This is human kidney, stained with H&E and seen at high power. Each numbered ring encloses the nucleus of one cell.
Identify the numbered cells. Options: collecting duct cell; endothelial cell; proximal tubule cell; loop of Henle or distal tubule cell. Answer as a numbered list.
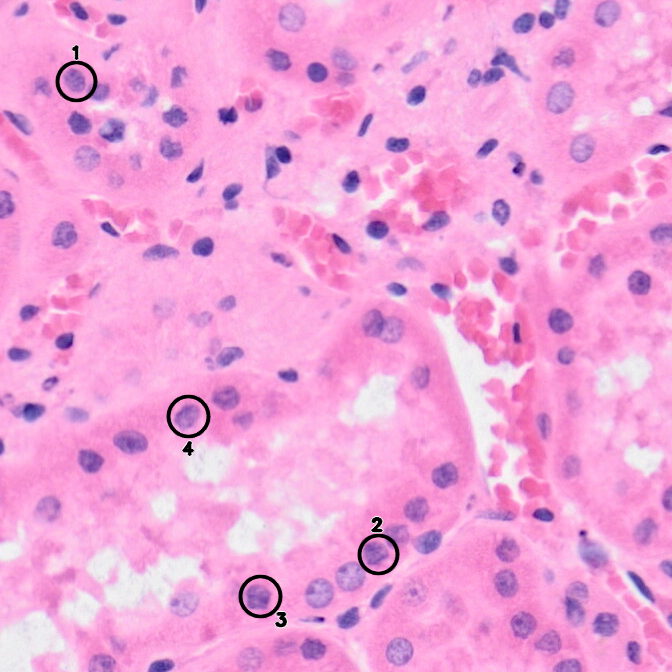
1. loop of Henle or distal tubule cell
2. proximal tubule cell
3. proximal tubule cell
4. proximal tubule cell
